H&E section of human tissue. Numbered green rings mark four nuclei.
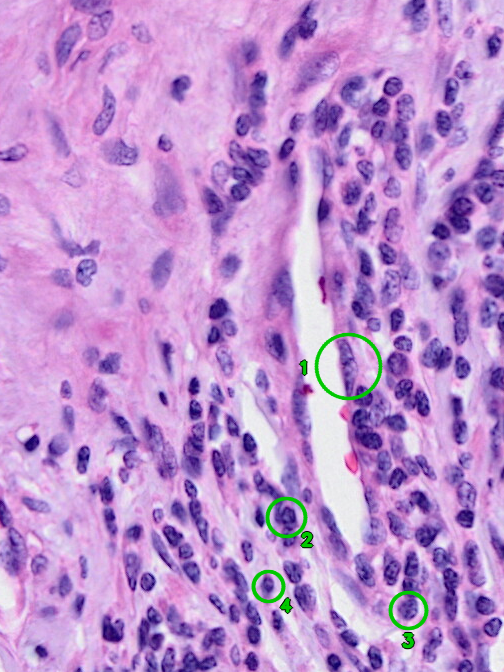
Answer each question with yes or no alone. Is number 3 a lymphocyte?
yes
